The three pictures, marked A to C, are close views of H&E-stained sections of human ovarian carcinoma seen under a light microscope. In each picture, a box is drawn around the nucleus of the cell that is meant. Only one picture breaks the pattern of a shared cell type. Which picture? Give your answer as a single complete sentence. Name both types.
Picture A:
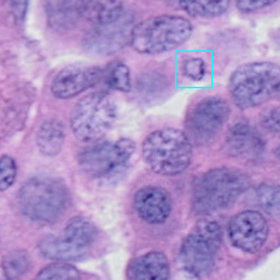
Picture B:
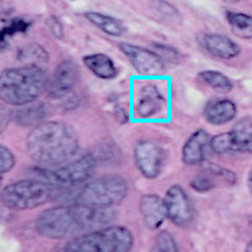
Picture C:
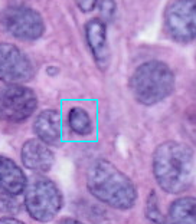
Picture B is the odd one out: it shows a fibroblast, while the others show “macrophages or monocytes”.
